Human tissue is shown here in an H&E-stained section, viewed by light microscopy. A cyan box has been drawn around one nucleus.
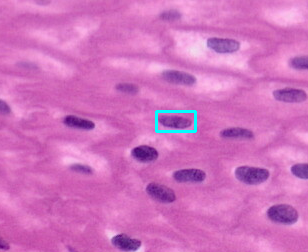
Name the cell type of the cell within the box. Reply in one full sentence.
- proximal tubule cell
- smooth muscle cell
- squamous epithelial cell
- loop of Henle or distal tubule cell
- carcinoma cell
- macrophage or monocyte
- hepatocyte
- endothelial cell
As far as its identity is concerned, the cell within the box is a squamous epithelial cell.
